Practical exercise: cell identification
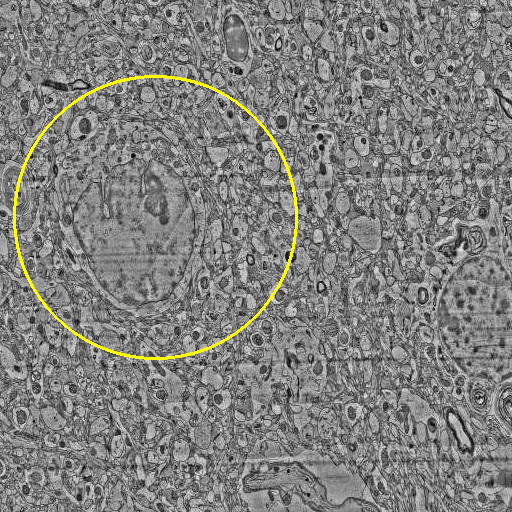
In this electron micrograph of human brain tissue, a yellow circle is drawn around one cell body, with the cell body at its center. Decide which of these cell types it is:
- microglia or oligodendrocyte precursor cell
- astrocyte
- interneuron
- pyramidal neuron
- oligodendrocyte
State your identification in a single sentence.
The ringed cell is an interneuron.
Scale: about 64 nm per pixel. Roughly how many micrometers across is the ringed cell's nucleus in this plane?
In this plane the nucleus spans approximately 10 by 8 micrometers.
